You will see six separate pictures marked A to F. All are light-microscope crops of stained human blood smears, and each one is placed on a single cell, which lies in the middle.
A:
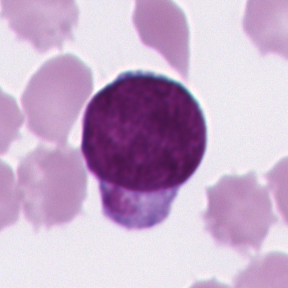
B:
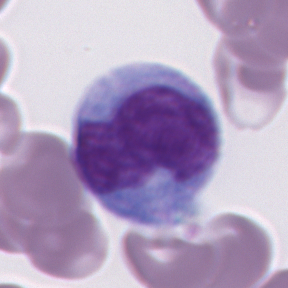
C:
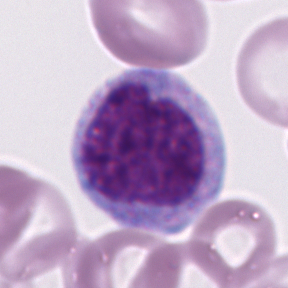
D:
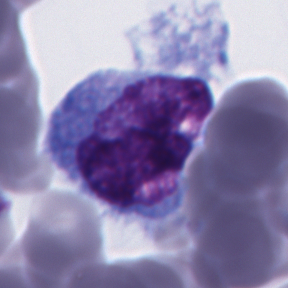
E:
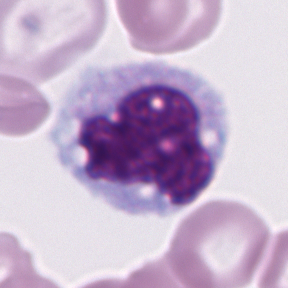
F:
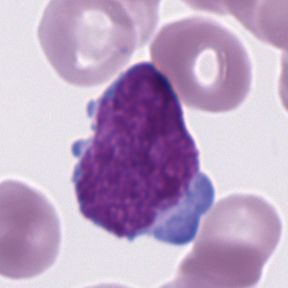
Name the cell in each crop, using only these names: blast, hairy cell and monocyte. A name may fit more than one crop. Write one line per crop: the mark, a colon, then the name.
A: blast
B: monocyte
C: monocyte
D: monocyte
E: monocyte
F: blast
